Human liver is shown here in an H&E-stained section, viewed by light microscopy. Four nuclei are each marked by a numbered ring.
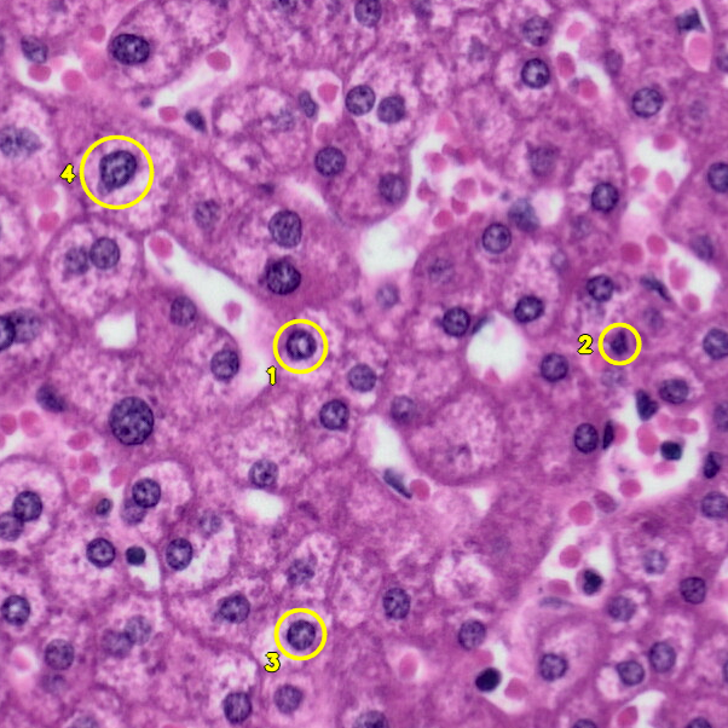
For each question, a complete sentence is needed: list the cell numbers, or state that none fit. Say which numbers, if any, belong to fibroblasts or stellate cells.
In contrast to the remaining marked cells, cell 2 is a fibroblast or stellate cell.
